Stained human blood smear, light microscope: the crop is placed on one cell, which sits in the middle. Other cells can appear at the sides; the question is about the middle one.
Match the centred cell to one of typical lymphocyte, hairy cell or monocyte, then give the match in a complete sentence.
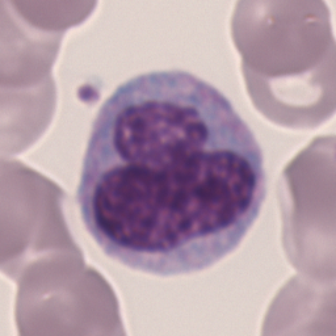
What sits at the centre of this crop is a monocyte.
